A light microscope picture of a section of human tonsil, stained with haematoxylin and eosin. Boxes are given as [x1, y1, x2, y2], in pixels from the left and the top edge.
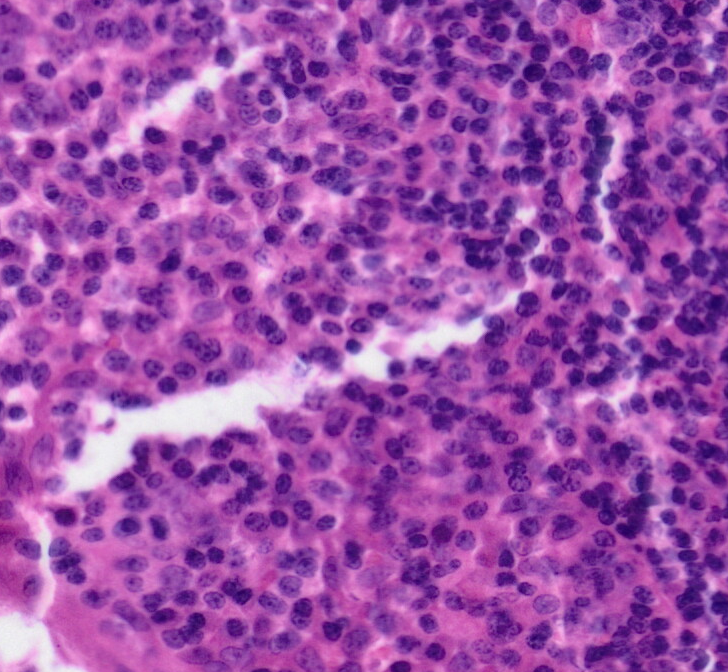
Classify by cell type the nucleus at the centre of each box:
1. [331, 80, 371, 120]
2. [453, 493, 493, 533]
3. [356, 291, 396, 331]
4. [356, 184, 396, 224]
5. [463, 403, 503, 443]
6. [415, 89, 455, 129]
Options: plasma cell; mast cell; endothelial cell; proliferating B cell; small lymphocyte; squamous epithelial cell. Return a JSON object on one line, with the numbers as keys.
{"1": "plasma cell", "2": "plasma cell", "3": "plasma cell", "4": "squamous epithelial cell", "5": "squamous epithelial cell", "6": "plasma cell"}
